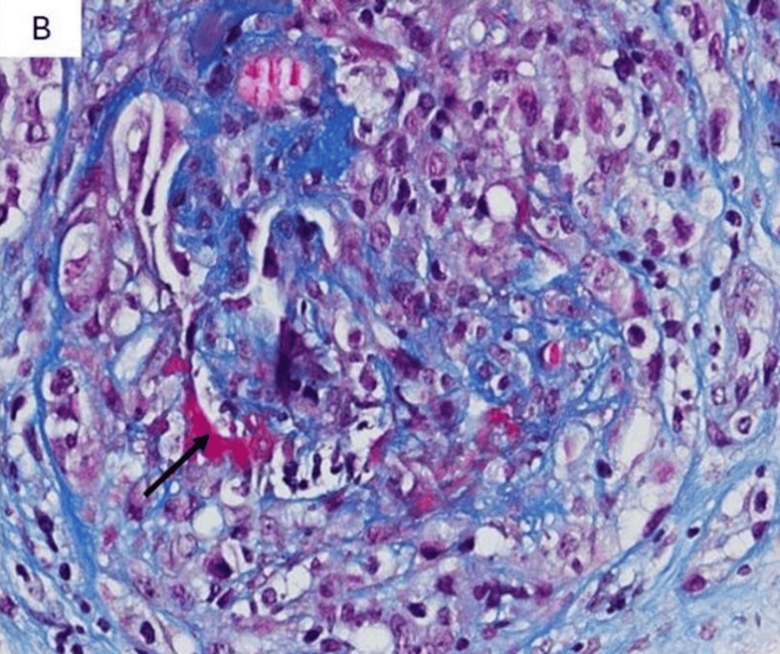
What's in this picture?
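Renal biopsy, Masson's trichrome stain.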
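This is a glomerulus with a cellular crescent, seen at higher magnification. The structure is encircled and laced by blue-stained collagen fibres. Inside, numerous crowded cells with purple, oval nuclei and pale, vacuolated cytoplasm fill the space around the collapsed capillary loops. A bright red, amorphous deposit lies within the tuft, standing out against the blue and purple. A few red blood cells are visible in a capillary near the top.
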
